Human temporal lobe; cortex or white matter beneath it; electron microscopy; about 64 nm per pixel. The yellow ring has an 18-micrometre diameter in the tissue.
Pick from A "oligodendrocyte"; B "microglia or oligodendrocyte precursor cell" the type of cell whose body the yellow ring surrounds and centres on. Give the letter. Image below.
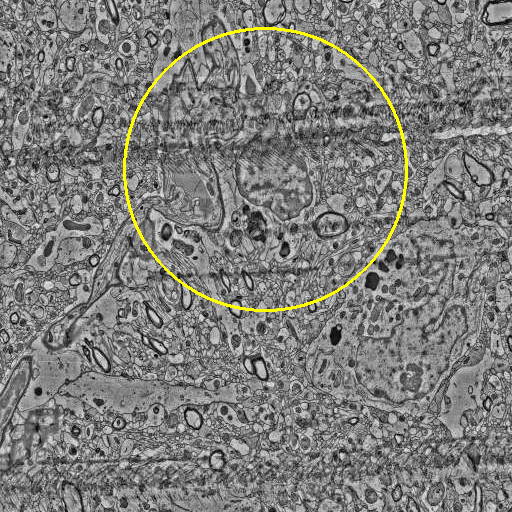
B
